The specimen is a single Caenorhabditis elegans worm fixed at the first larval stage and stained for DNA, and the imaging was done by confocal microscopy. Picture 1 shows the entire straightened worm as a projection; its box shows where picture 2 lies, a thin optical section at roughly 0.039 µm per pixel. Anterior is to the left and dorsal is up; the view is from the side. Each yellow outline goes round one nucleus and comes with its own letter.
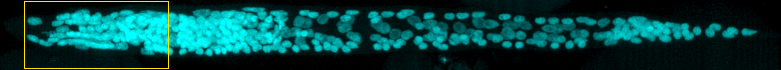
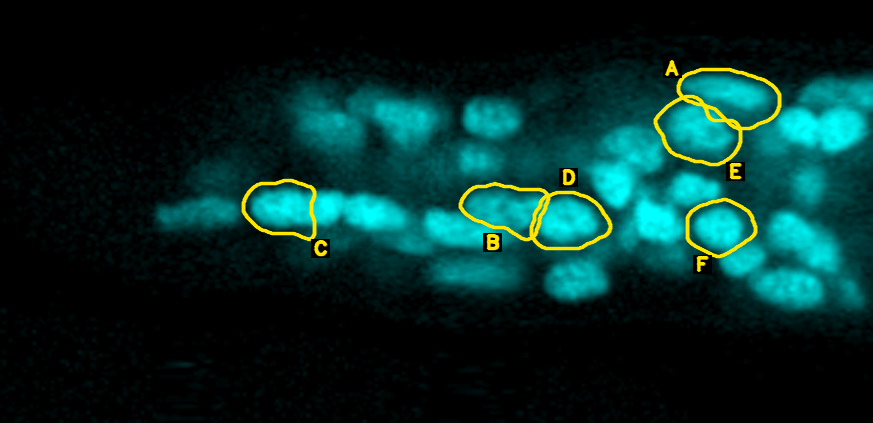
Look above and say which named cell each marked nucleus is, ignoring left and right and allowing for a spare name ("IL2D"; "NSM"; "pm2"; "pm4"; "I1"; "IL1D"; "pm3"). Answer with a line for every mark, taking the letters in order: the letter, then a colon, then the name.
A: IL2D
B: pm3
C: pm2
D: I1
E: pm4
F: NSM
